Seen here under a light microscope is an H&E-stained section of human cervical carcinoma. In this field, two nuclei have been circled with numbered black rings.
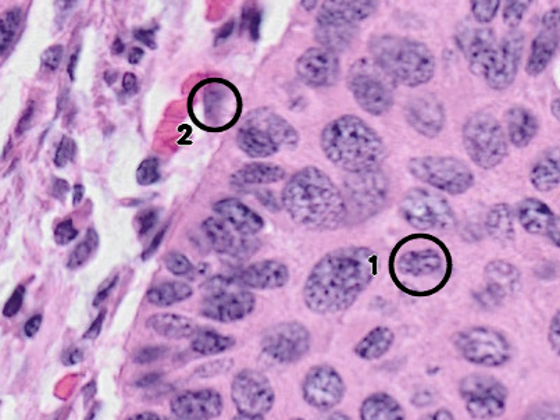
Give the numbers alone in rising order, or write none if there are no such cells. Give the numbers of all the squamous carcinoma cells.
1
